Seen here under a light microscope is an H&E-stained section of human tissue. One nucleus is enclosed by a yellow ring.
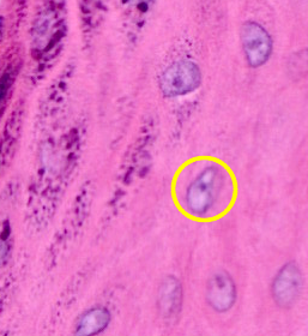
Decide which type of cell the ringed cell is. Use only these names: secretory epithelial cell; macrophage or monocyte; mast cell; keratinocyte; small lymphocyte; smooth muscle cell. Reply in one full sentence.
The cell meant here is a keratinocyte.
